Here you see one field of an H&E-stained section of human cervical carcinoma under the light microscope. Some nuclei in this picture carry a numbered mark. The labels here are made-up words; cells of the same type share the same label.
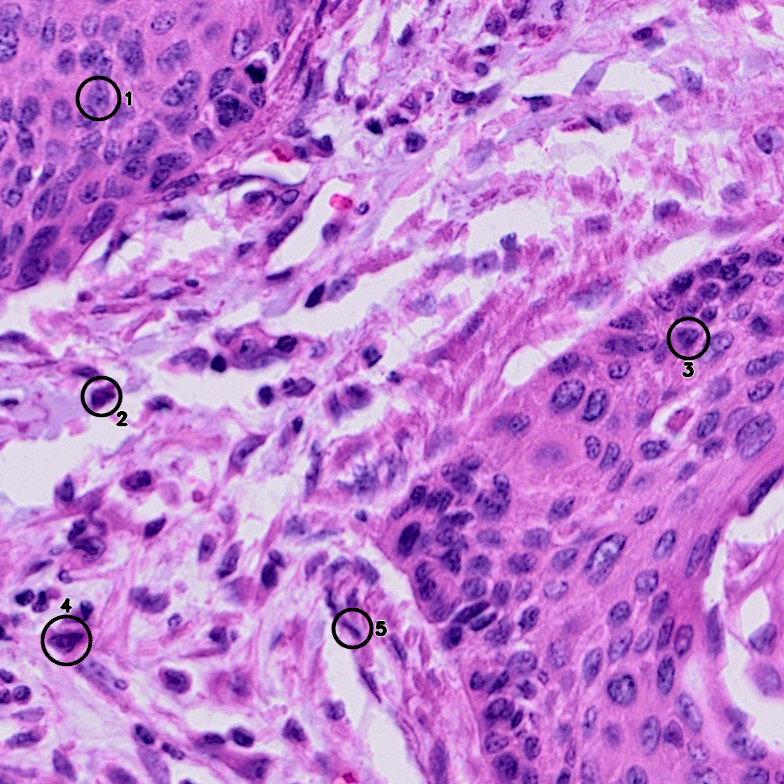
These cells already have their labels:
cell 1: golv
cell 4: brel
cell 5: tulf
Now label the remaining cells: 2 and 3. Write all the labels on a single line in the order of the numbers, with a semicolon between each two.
brel; golv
